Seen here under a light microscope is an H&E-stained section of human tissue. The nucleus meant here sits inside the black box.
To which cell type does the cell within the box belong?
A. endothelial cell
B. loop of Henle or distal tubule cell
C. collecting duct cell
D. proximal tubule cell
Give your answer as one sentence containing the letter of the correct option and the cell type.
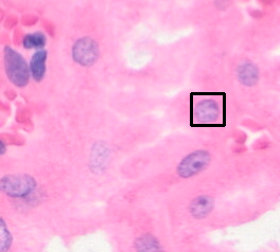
Here the cell within the box is a proximal tubule cell; pick option D.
